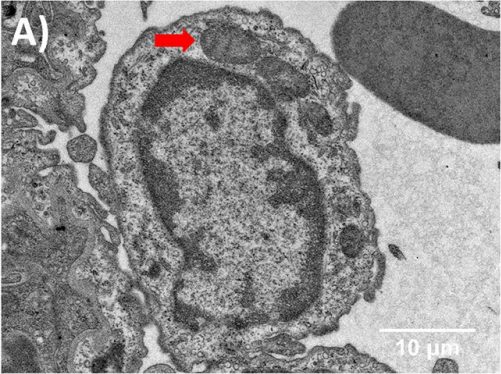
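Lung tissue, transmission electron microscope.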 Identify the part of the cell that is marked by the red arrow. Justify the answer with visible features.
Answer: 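Small oval dense organelles lie in the thin rim of cytoplasm around a large indented nucleus.
Answer: mitochondria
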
